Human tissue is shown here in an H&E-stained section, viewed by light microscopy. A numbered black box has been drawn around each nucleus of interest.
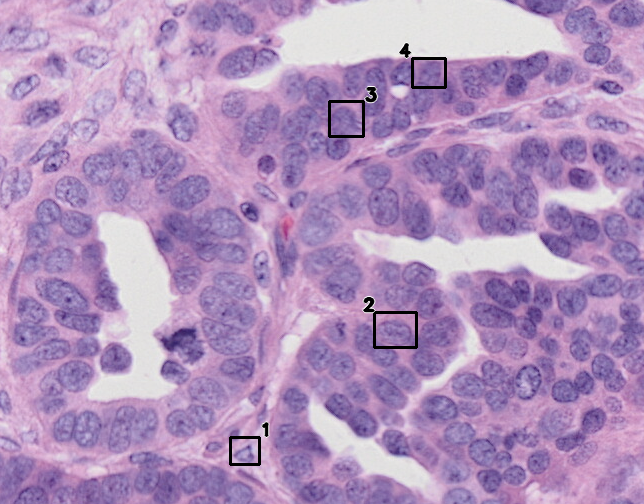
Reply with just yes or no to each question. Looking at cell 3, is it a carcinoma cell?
yes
